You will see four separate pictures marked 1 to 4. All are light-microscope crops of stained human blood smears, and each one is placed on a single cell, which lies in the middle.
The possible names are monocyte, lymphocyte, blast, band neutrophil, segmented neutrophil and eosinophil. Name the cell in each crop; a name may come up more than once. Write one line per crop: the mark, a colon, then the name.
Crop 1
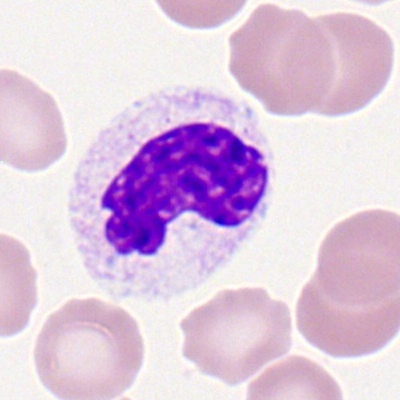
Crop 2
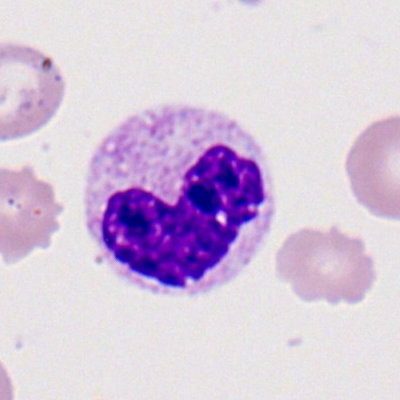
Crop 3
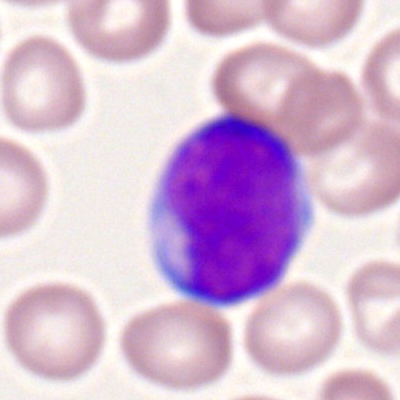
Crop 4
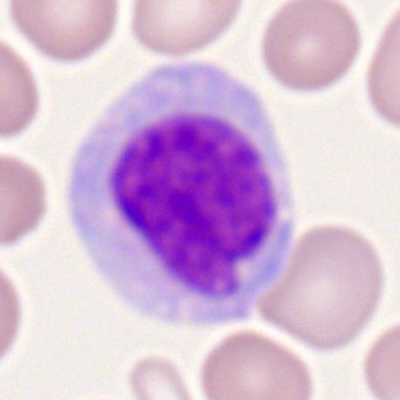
1: band neutrophil
2: band neutrophil
3: blast
4: monocyte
